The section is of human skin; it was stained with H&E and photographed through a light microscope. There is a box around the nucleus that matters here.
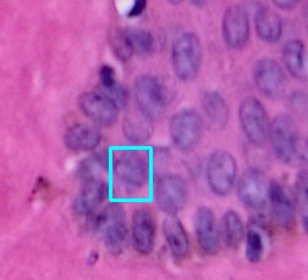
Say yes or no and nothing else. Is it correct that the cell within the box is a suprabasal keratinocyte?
no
